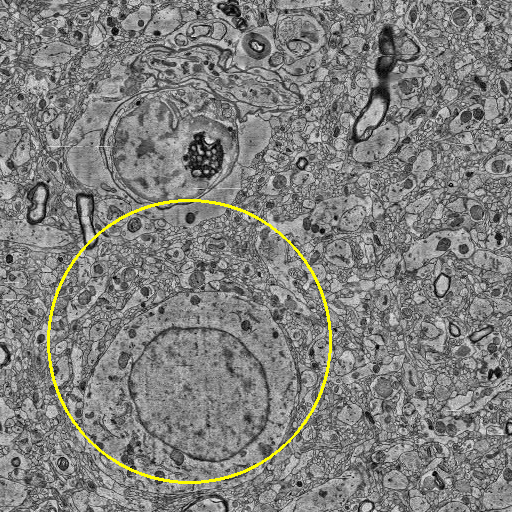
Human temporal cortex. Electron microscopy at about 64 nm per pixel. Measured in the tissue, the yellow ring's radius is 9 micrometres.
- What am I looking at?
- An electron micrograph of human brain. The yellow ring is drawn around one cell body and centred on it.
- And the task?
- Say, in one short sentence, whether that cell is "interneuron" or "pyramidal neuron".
The cell in the middle of the ring is a pyramidal neuron.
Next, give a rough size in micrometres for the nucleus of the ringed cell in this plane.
About 9 micrometres across, as seen in this plane.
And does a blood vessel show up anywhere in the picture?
Yes, a vessel appears in the picture.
